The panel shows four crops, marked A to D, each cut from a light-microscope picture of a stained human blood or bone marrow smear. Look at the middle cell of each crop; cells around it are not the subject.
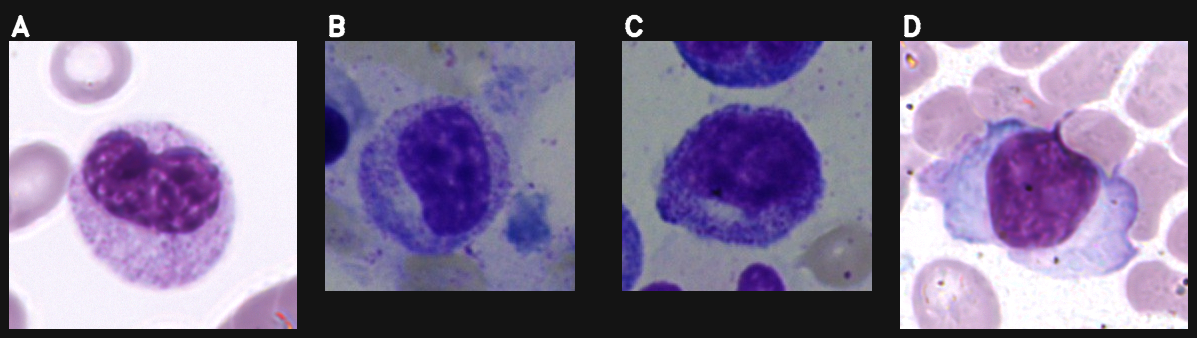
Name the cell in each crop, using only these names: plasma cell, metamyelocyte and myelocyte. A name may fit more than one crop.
A: metamyelocyte
B: metamyelocyte
C: myelocyte
D: plasma cell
